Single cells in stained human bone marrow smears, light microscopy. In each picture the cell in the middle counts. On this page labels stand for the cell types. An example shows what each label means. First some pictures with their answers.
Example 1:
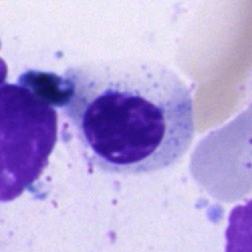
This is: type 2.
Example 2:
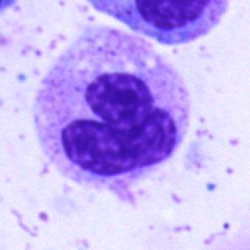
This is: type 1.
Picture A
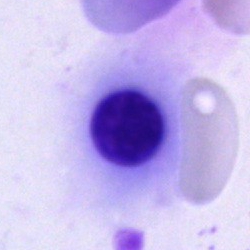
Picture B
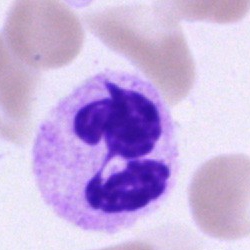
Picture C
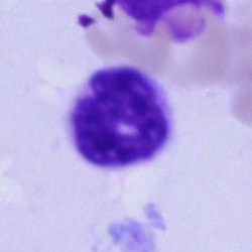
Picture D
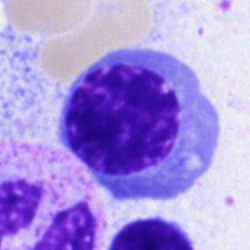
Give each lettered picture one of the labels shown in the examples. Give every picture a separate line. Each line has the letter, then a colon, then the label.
A: type 2.
B: type 1.
C: type 1.
D: type 2.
